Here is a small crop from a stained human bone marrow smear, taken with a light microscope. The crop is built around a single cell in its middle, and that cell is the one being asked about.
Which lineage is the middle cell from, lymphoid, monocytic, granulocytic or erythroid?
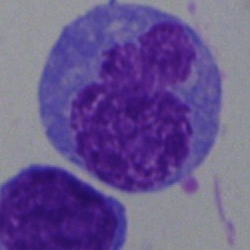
monocytic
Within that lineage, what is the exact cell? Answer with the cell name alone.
monocyte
